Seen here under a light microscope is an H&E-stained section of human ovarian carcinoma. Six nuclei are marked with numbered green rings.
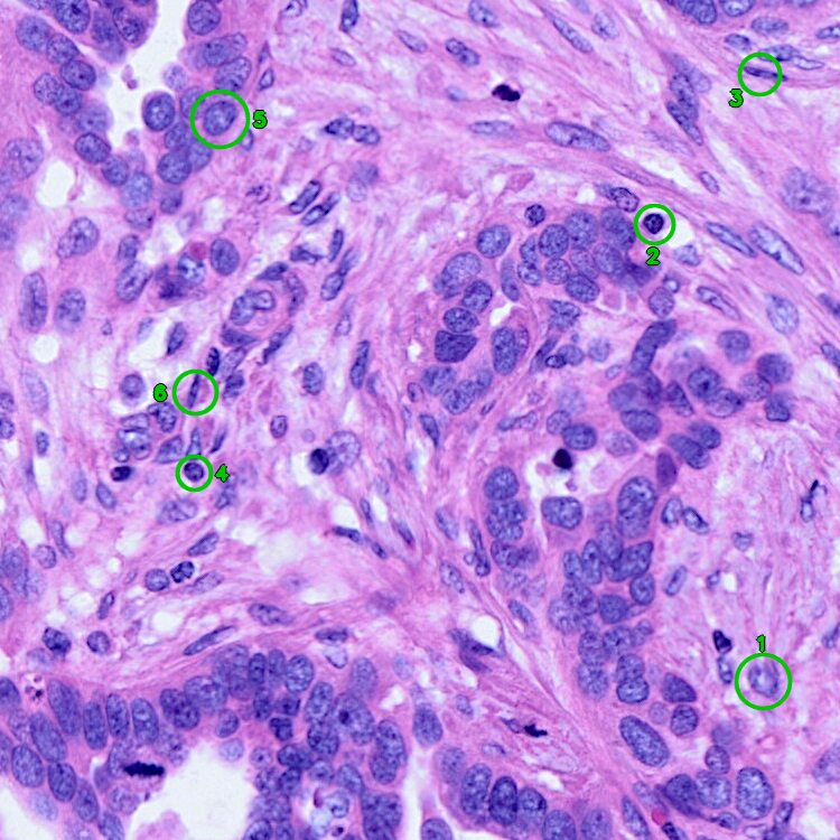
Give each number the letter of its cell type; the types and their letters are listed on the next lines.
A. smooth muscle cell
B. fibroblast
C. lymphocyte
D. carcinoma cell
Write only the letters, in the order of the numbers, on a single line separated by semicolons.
B; C; B; C; D; B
